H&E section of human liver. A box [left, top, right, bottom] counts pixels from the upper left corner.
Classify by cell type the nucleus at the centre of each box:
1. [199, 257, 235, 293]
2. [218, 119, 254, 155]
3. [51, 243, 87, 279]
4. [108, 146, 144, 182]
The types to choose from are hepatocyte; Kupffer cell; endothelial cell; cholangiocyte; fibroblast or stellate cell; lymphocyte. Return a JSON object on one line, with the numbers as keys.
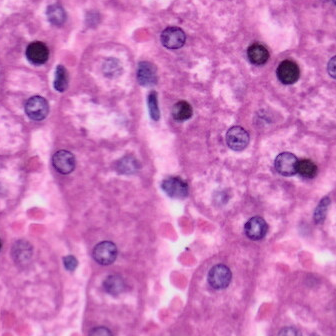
{"1": "hepatocyte", "2": "hepatocyte", "3": "lymphocyte", "4": "hepatocyte"}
